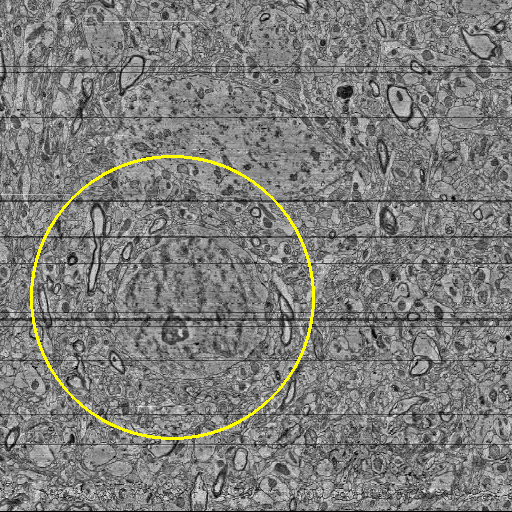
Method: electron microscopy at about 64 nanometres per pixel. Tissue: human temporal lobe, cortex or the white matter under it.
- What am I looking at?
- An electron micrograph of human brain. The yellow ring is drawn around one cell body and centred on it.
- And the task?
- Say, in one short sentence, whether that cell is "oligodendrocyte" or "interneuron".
The cell in the middle of the ring is an interneuron.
